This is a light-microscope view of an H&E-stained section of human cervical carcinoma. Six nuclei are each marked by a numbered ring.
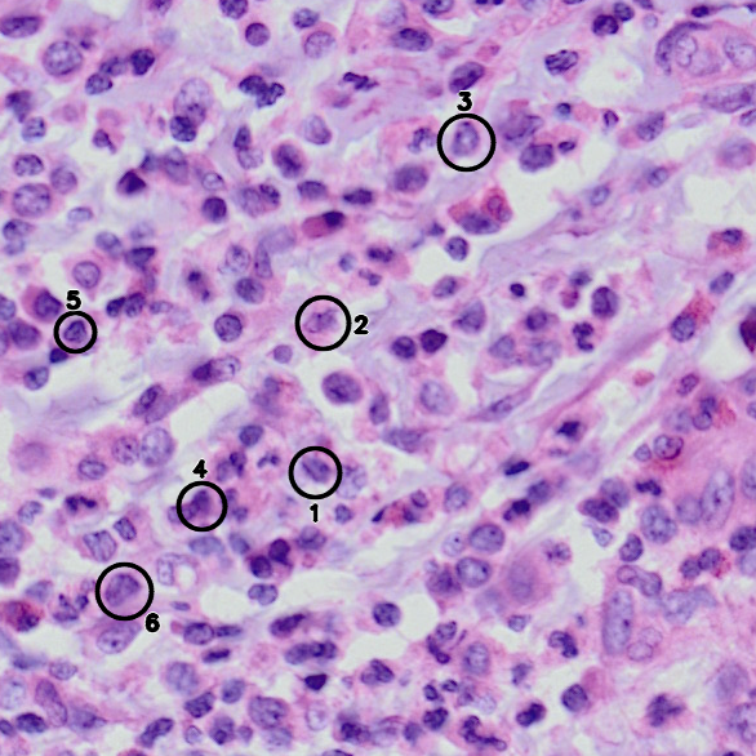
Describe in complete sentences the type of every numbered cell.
Cell 1 is a lymphocyte, cell 2 is a macrophage or monocyte, cell 3 is a macrophage or monocyte, cell 4 is a lymphocyte, cell 5 is a lymphocyte and cell 6 is a macrophage or monocyte.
